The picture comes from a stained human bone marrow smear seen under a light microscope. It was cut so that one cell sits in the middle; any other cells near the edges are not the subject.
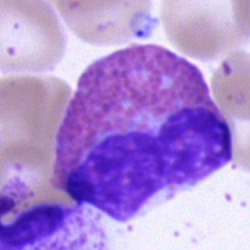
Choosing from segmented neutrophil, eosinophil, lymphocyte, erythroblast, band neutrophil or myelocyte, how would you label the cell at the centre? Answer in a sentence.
The cell at the middle of the crop is recognized as an eosinophil.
